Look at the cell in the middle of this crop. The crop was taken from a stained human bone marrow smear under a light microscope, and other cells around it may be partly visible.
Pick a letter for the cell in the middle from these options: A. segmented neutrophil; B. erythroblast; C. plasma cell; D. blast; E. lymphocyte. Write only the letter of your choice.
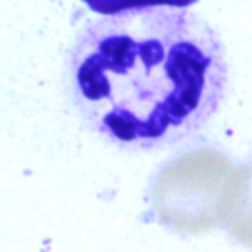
A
